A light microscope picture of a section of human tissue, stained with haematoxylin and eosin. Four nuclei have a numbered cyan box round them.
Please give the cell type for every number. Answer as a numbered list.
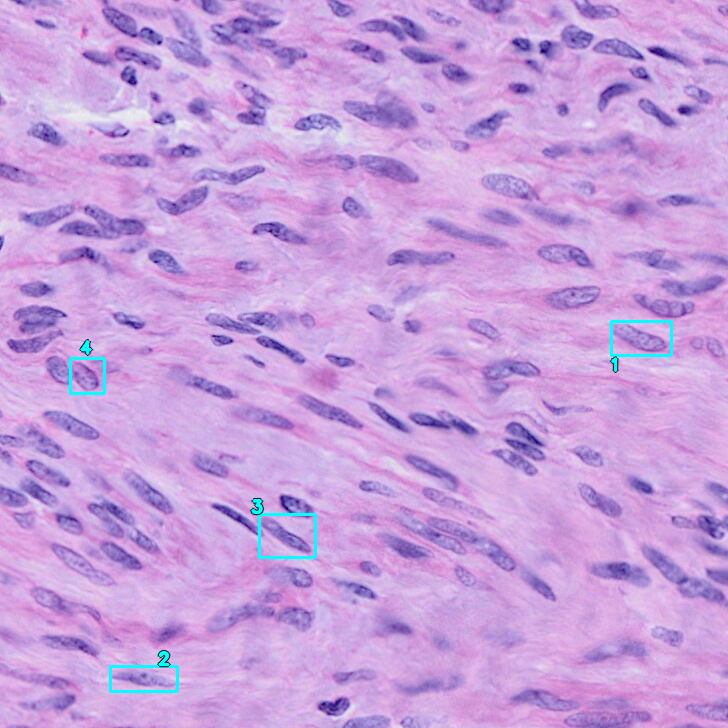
1. smooth muscle cell
2. fibroblast
3. smooth muscle cell
4. smooth muscle cell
